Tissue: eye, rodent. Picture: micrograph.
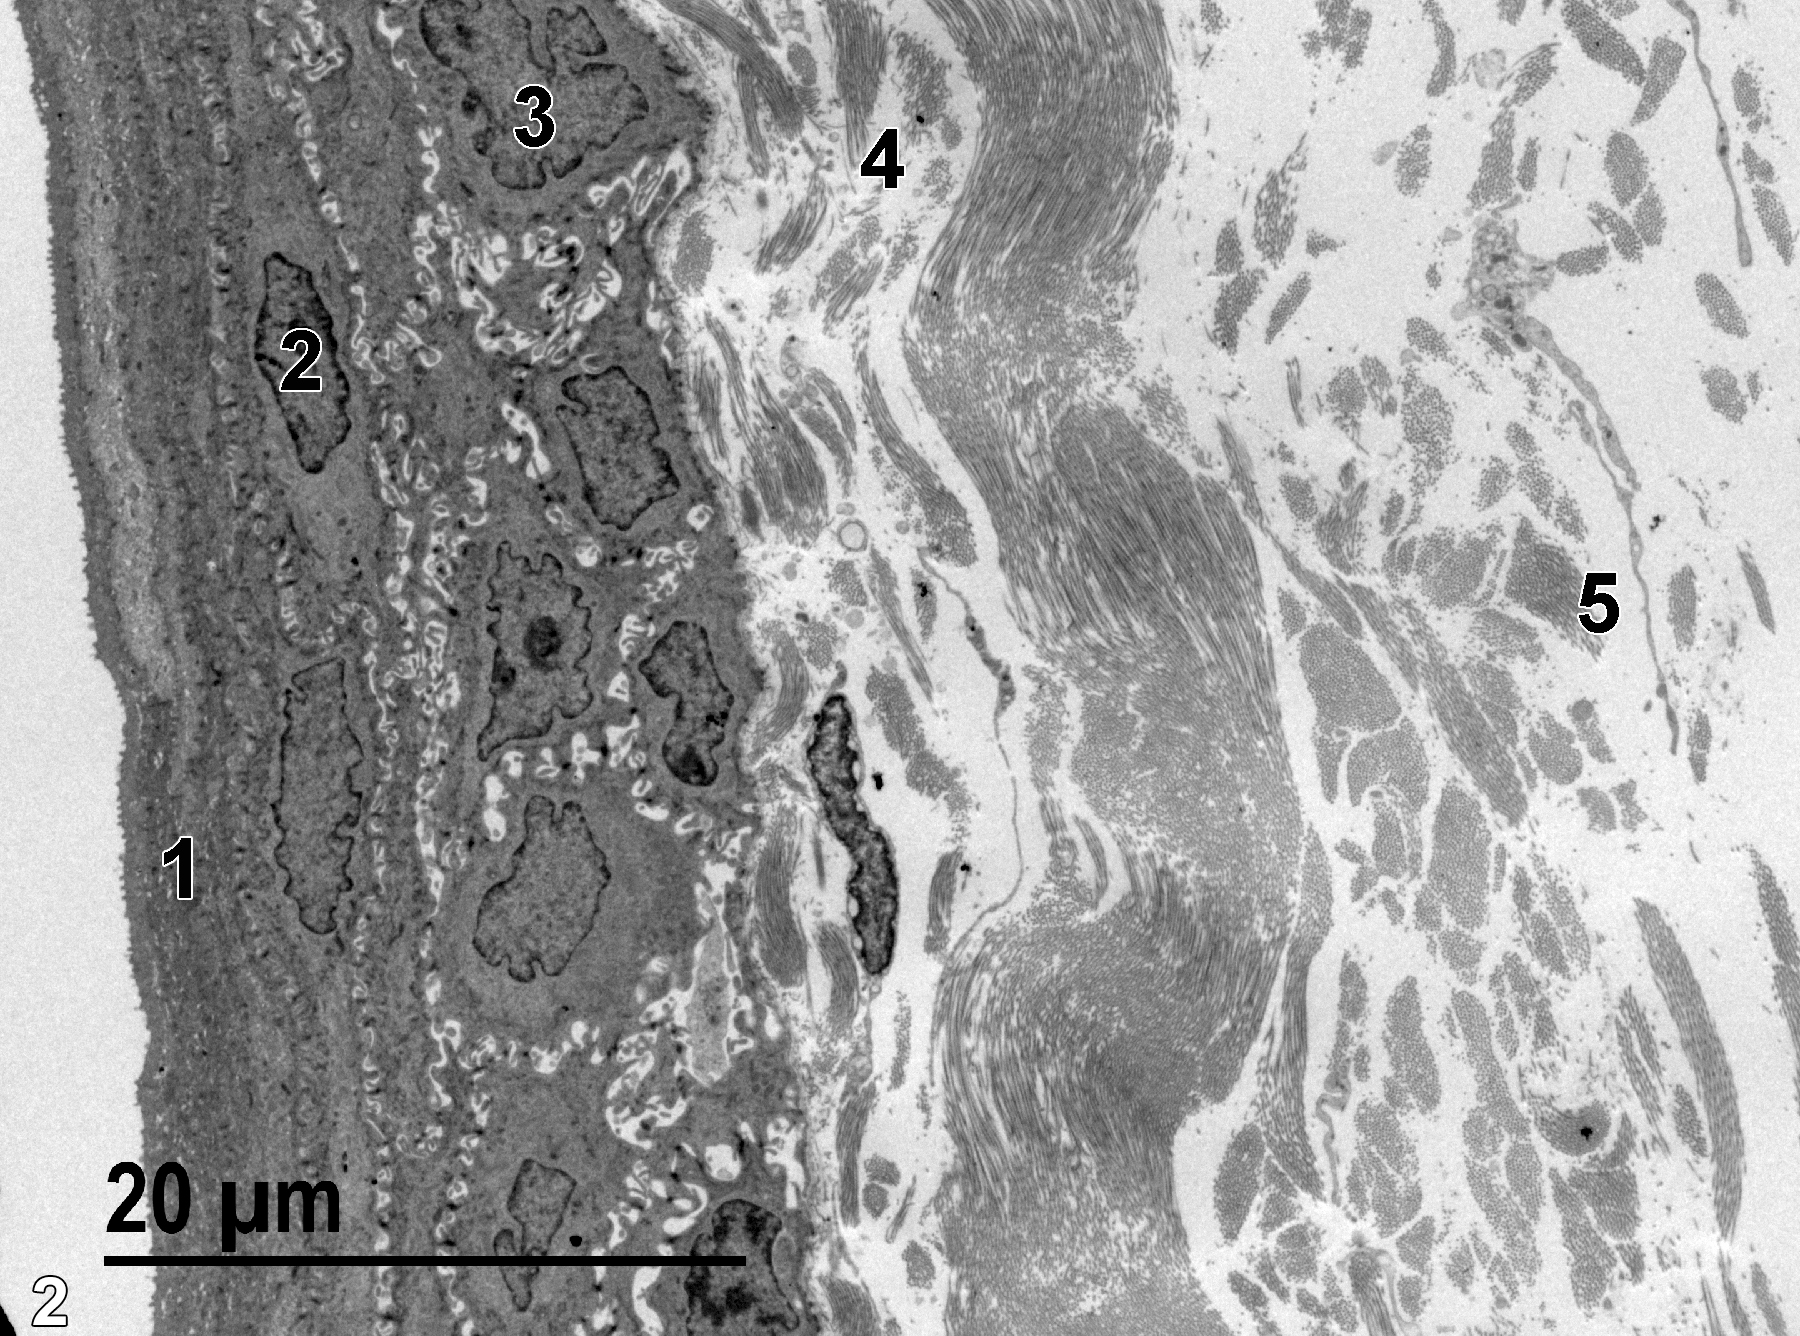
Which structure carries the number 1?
At 1: squamous epithelial cells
